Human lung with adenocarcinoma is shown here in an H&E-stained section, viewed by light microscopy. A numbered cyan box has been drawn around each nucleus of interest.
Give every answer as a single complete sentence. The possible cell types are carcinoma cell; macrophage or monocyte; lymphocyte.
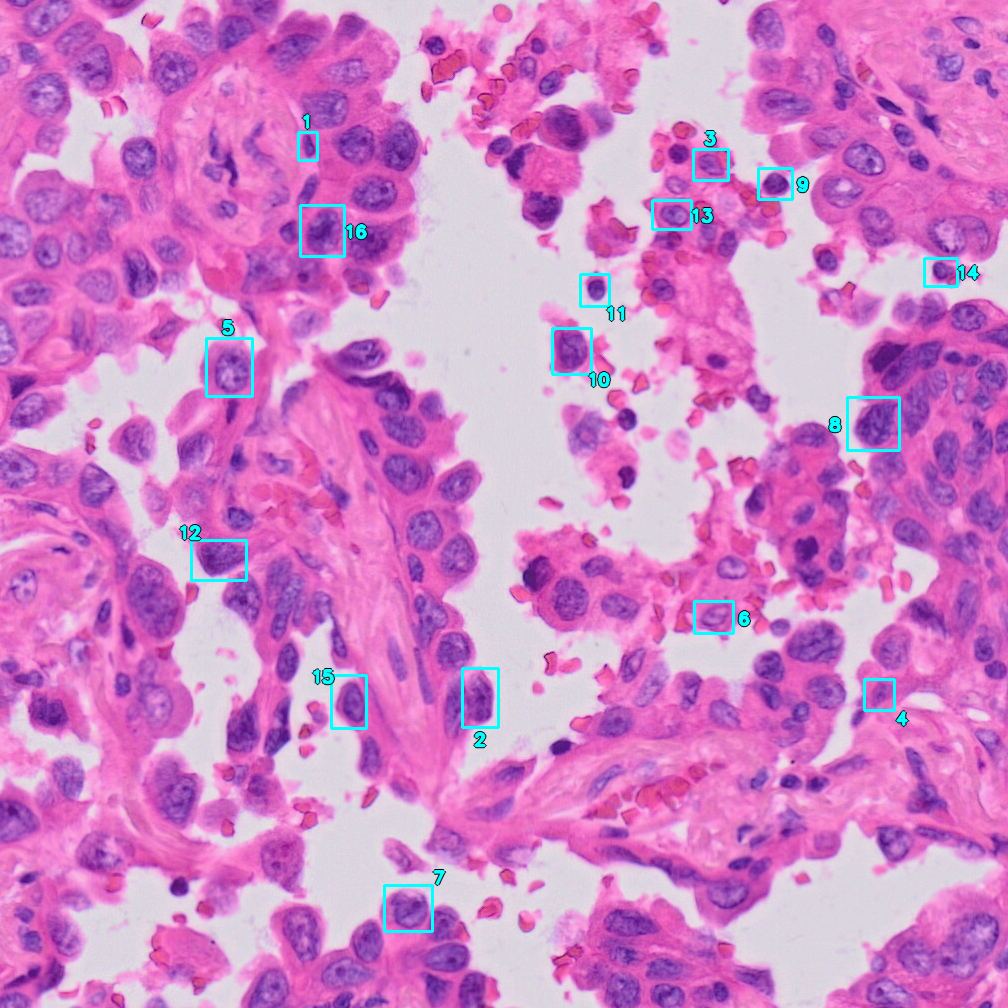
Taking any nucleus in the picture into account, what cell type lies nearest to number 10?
The cell nearest to number 10 is a lymphocyte.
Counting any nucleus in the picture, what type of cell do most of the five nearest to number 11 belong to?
Most of the five nuclei nearest to number 11 are those of macrophages or monocytes.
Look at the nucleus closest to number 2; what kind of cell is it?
The cell nearest to number 2 is a carcinoma cell.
